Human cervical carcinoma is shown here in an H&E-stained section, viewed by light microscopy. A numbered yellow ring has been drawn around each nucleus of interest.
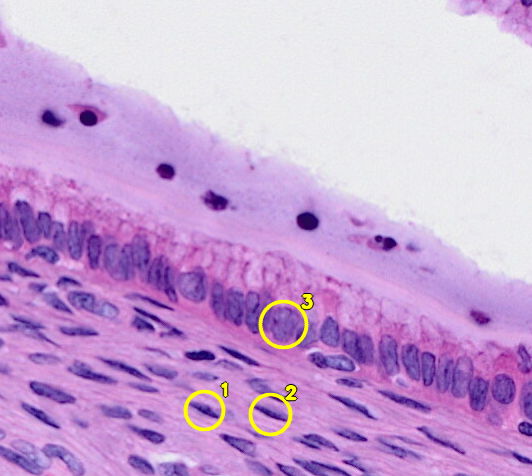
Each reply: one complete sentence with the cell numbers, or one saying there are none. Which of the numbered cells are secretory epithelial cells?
Just the cell marked 3 is a secretory epithelial cell; none of the other marked cells is.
